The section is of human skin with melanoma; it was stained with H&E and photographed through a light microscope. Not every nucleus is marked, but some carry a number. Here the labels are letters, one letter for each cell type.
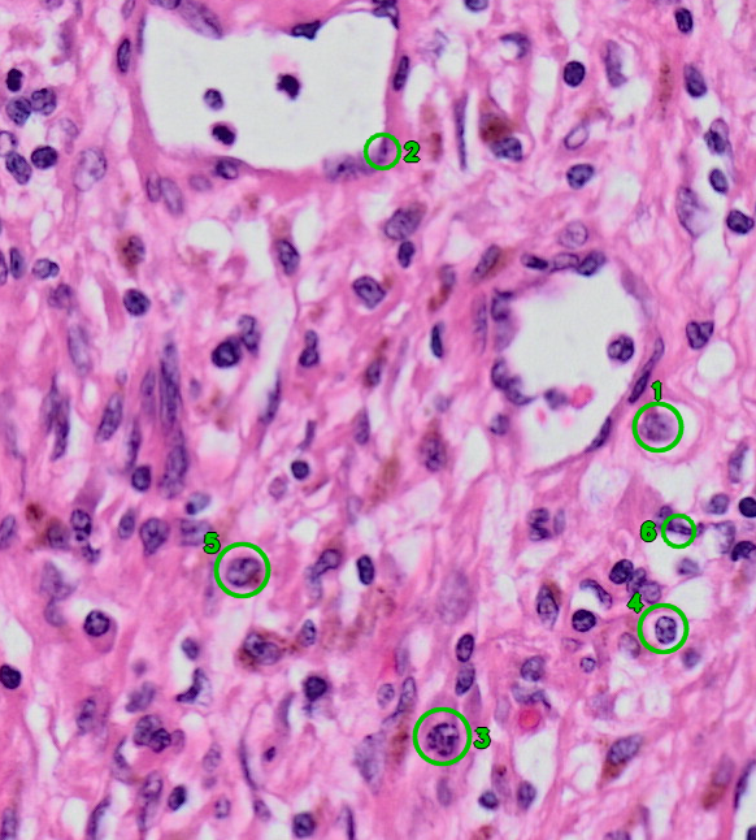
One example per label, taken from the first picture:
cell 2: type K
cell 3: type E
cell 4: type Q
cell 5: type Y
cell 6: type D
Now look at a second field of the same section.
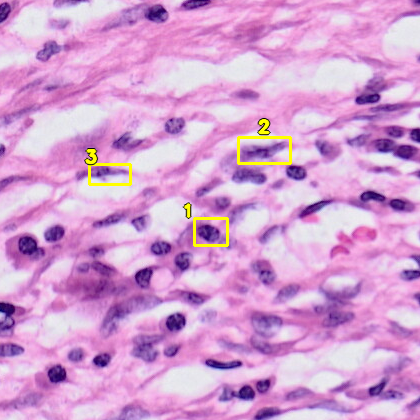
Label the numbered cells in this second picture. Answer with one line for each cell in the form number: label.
1: type E
2: type D
3: type D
